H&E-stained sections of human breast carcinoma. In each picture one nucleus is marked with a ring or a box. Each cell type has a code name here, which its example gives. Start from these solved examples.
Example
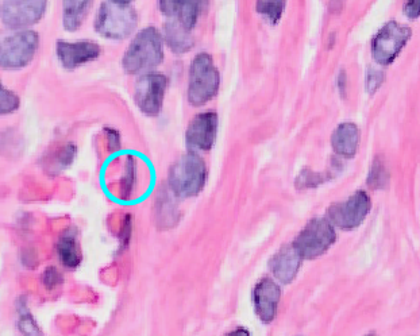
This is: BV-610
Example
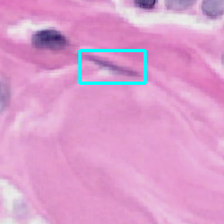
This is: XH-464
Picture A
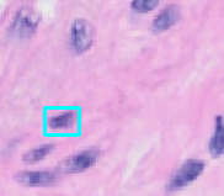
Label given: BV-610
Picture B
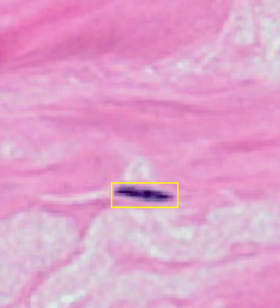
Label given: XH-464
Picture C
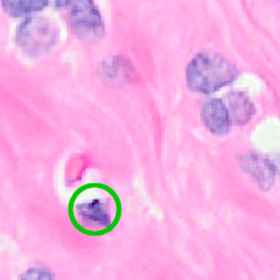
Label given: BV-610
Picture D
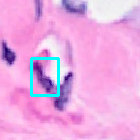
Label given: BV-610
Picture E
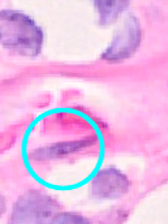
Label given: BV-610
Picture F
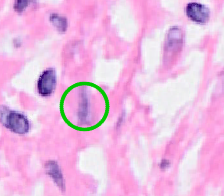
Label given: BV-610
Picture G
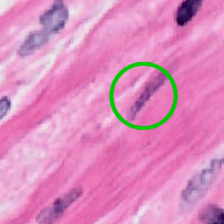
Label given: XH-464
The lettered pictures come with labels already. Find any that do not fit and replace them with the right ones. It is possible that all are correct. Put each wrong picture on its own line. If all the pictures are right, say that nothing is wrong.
Wrong: F (BV-610); correct: XH-464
